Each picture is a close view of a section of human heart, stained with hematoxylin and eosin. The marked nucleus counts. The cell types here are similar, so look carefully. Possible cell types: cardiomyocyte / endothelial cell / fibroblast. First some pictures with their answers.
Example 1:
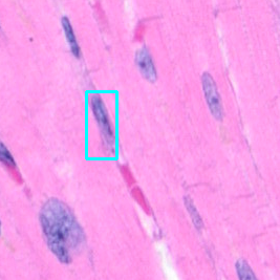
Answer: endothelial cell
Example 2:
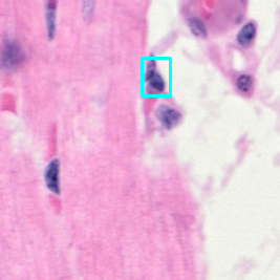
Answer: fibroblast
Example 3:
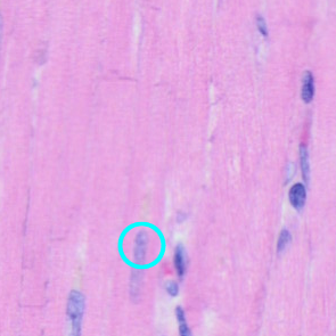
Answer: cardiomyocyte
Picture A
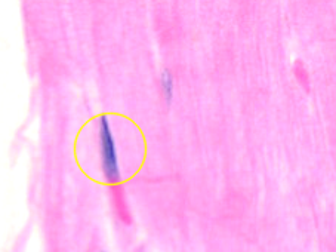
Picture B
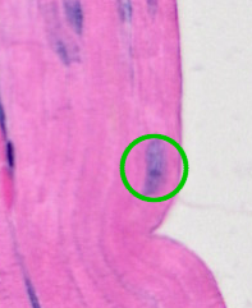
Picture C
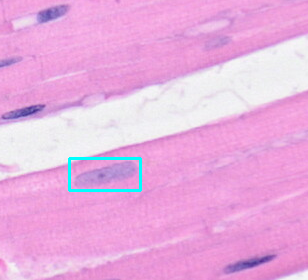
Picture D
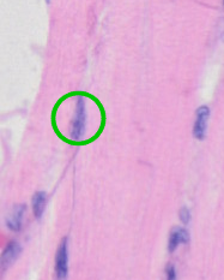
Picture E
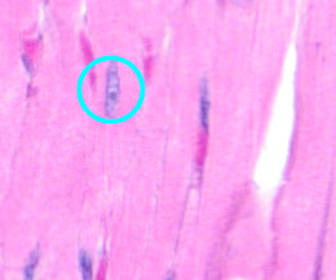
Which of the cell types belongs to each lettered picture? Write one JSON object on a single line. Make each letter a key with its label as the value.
{"A": "endothelial cell", "B": "cardiomyocyte", "C": "cardiomyocyte", "D": "fibroblast", "E": "cardiomyocyte"}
